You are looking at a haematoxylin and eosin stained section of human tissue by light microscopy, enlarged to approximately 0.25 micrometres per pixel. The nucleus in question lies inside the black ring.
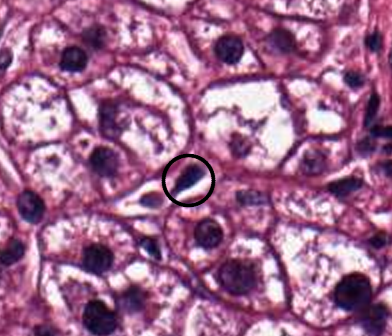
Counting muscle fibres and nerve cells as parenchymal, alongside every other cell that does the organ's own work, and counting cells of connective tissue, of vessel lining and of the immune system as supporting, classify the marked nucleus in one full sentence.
Located within a supporting cell is the nucleus that has been marked.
